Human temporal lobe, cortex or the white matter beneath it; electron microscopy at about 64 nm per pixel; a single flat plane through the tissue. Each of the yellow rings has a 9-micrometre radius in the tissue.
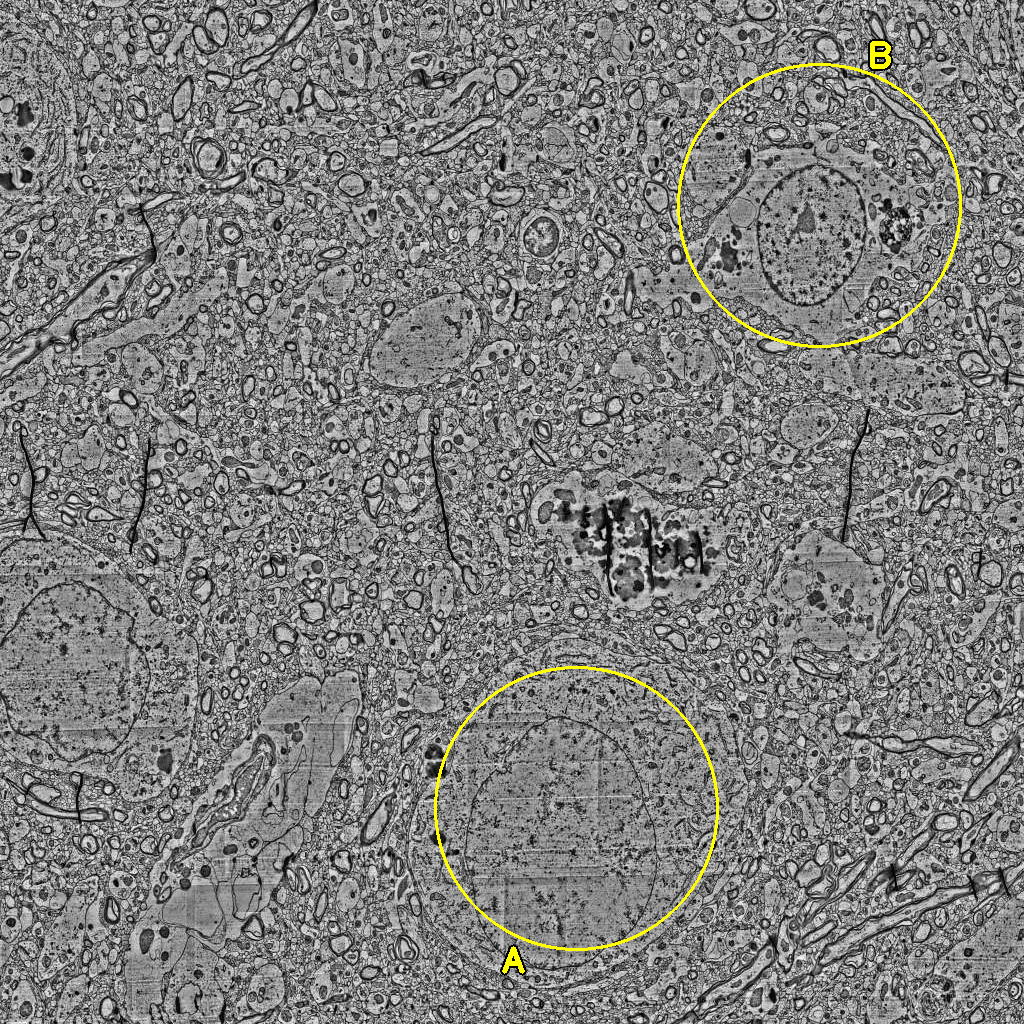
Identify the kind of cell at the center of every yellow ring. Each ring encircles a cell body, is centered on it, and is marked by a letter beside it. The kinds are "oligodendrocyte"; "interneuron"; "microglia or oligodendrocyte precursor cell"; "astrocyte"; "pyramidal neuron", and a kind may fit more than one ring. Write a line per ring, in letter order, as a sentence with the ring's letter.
The cell centered in ring A is a pyramidal neuron.
The cell centered in ring B is an astrocyte.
